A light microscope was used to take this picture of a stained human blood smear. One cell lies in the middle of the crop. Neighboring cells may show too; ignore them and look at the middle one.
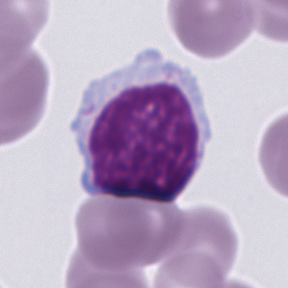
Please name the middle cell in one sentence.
The cell at the central position in this crop is a large granular lymphocyte.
